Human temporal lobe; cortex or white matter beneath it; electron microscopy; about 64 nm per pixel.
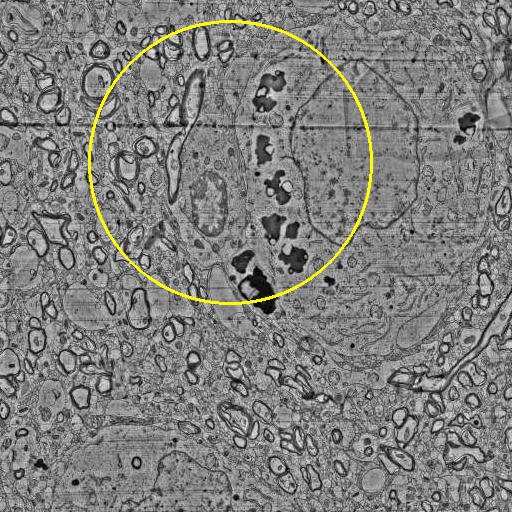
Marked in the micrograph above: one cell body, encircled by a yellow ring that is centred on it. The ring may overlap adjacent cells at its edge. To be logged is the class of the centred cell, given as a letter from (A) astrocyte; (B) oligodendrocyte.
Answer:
B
